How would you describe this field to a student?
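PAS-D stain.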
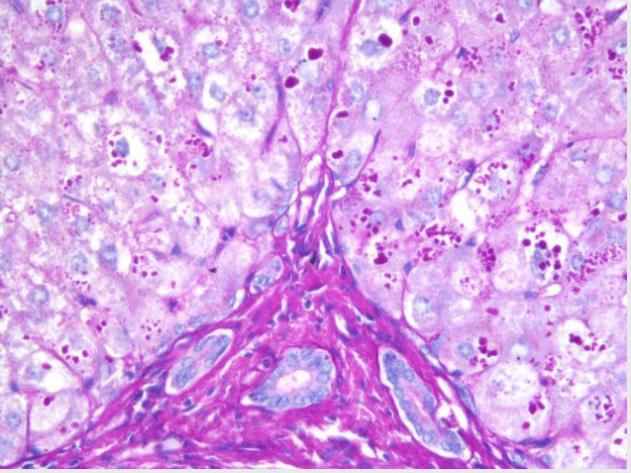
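Liver tissue with a portal tract at the bottom centre, a triangle of deep magenta fibrous tissue holding small ducts lined by cuboidal cells. The surrounding hepatocytes have pale cytoplasm containing clusters of round magenta globules of varying size.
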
